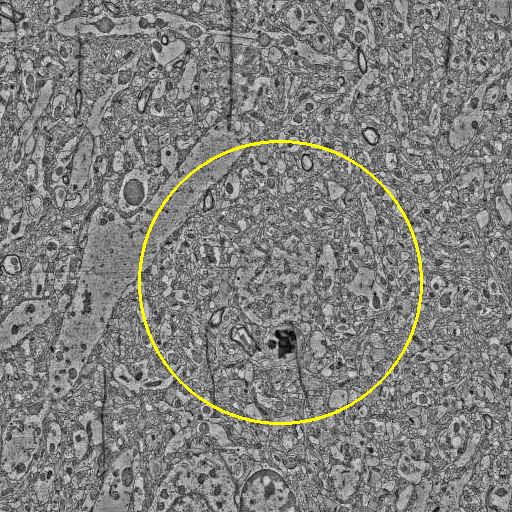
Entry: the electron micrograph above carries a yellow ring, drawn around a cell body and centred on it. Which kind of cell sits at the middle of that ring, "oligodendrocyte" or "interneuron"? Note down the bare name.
interneuron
